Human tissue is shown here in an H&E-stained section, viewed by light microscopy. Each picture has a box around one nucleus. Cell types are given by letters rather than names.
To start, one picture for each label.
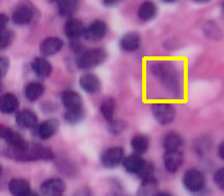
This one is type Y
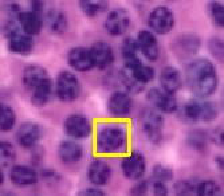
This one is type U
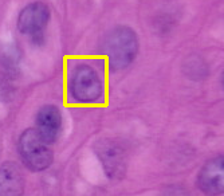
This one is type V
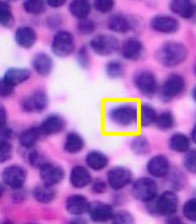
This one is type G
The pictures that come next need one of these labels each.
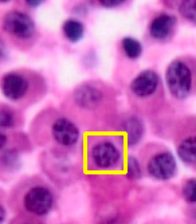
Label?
type U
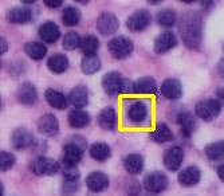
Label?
type G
